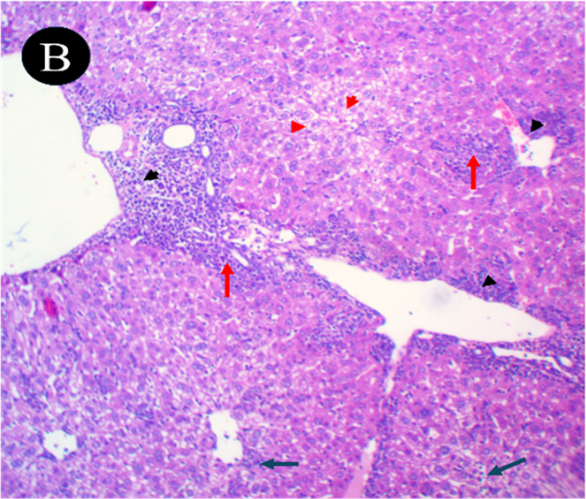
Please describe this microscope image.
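This is liver at lower magnification, showing hepatocyte parenchyma around several large, empty-looking vessels. Dense collections of small cells with dark round nuclei crowd around these vessels. The collections extend into the surrounding parenchyma, and smaller groups of such cells lie scattered among the hepatocytes.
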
